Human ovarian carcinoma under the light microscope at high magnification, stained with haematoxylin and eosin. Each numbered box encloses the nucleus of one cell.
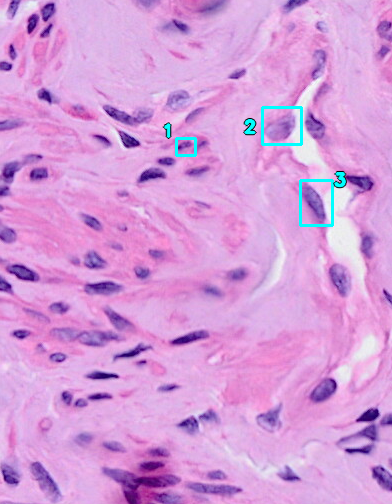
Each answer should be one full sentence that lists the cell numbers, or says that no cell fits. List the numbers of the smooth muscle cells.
Cell 1 alone, of all the numbered cells, is a smooth muscle cell.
